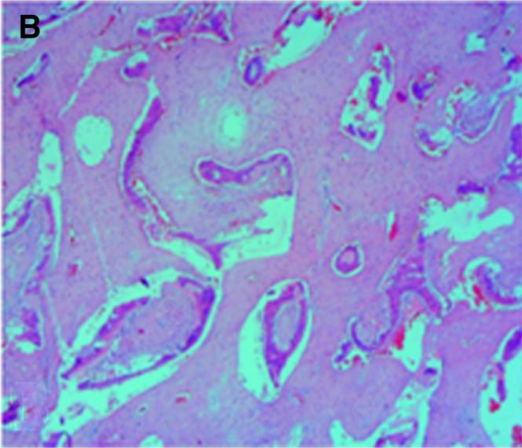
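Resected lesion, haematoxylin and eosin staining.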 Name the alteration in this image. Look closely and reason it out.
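Irregular, curved bone trabeculae of odd shapes lie within fibrous stroma. The trabeculae are scattered without an orderly arrangement.
Conclusion: fibrous dysplasia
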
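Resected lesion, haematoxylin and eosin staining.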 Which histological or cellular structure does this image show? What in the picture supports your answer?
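Curvilinear trabeculae of woven bone. Many curved, irregular pink-purple bony pieces are scattered across the field. The bony pieces are not joined into an organised lamellar network.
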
